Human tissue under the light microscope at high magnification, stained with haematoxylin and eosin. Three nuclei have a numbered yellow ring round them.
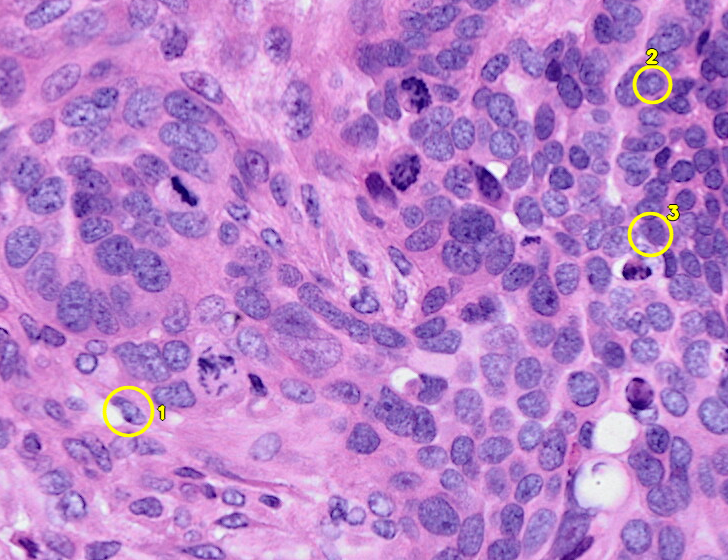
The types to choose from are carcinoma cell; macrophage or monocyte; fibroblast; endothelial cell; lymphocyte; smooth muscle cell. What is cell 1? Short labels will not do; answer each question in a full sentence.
Regarding cell 1, this one is a fibroblast.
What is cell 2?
Identified by the number 2, the cell is a carcinoma cell.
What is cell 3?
Belonging to a carcinoma cell is the nucleus that carries the number 3.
